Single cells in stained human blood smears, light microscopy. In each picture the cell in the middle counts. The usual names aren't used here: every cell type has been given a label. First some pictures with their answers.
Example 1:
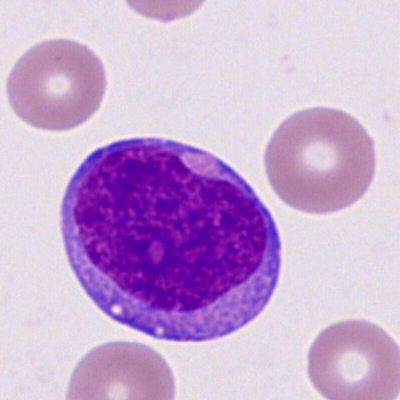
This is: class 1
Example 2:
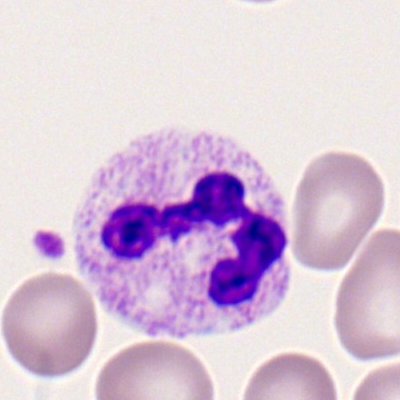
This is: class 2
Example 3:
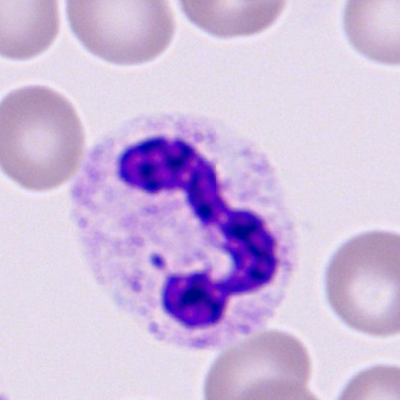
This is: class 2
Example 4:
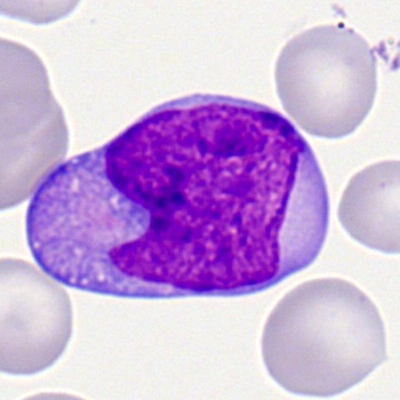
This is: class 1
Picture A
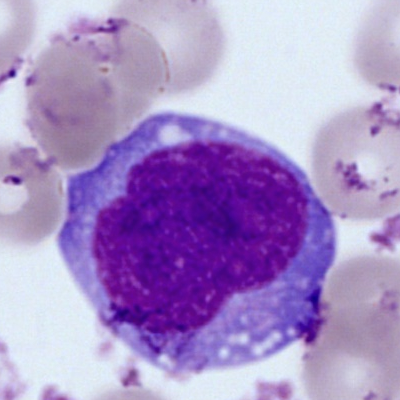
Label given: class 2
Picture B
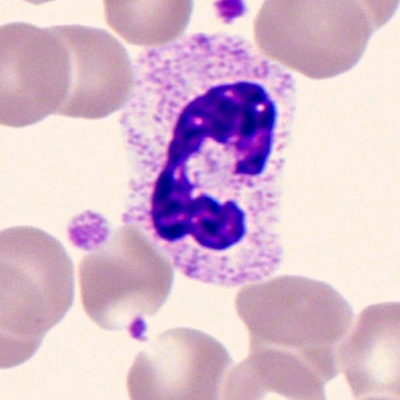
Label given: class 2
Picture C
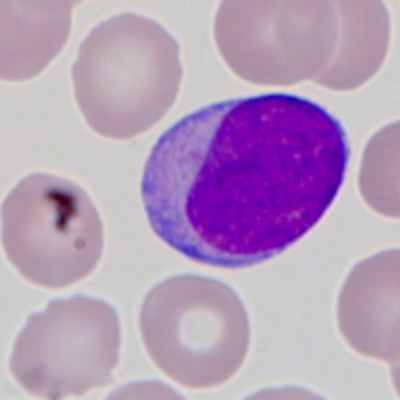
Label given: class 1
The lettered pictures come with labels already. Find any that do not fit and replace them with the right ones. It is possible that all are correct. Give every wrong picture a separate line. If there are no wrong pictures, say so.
A is labelled class 2; correct label: class 1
